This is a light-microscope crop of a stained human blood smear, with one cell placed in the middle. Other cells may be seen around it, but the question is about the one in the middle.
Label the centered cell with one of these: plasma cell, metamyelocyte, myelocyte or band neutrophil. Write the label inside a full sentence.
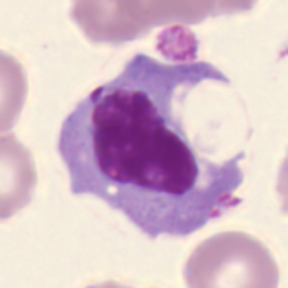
The cell shown in the center of this light-microscope crop is a plasma cell.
